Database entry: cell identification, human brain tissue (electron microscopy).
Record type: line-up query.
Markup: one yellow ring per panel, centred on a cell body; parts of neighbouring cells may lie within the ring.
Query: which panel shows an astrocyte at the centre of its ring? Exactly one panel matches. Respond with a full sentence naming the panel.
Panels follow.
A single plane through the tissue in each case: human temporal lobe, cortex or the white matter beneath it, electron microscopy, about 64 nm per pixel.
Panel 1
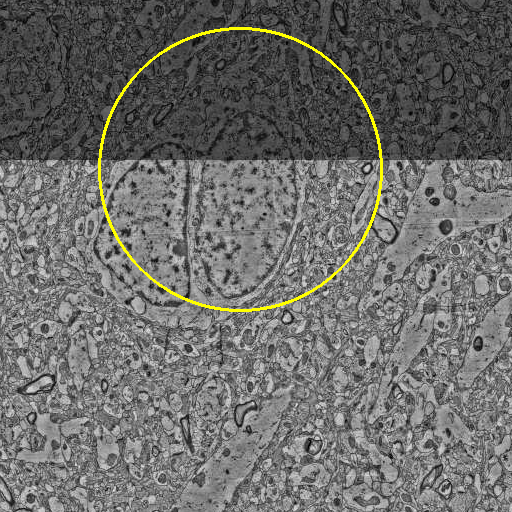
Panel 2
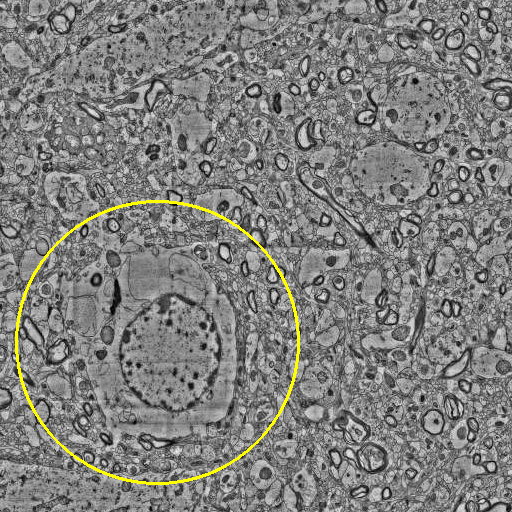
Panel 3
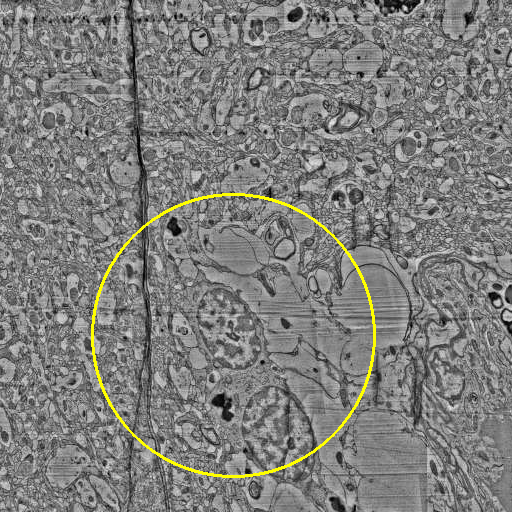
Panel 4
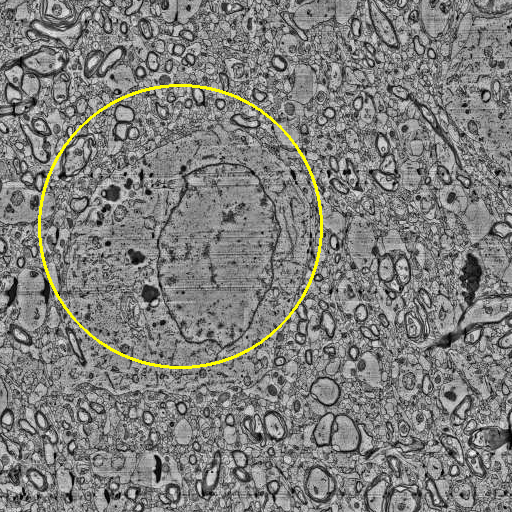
Panel 2 shows it at the centre of the ring.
